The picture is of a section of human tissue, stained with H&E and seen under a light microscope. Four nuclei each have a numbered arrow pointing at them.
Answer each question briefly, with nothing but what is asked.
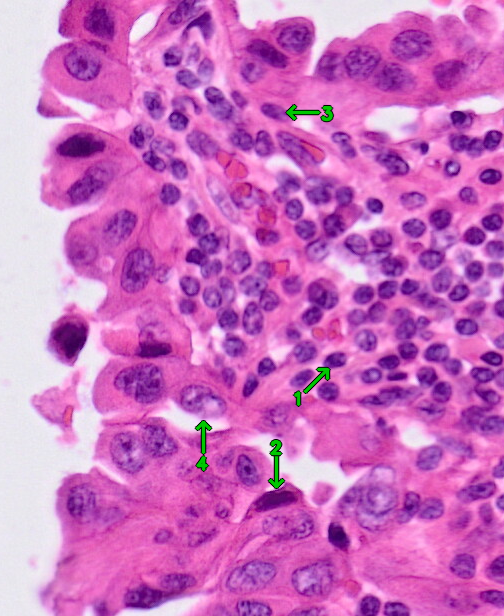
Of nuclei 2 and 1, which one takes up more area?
2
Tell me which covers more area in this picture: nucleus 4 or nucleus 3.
4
